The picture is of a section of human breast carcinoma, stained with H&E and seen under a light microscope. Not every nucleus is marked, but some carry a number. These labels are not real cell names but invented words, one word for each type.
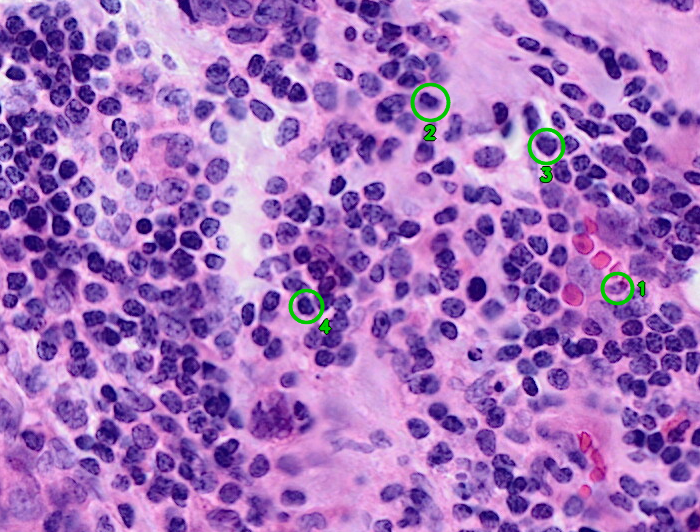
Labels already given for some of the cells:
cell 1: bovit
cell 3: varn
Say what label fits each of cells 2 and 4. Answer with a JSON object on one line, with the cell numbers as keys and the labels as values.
{"2": "varn", "4": "varn"}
